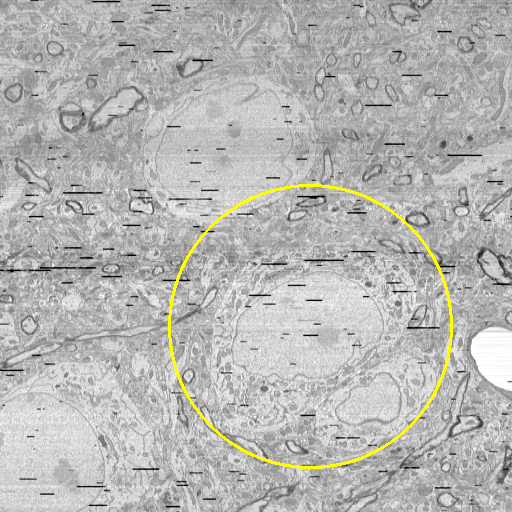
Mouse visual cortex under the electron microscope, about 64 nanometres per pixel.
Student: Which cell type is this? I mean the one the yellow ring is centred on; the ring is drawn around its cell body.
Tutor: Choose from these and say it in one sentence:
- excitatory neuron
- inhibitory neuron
The cell the ring is centred on is an inhibitory neuron.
